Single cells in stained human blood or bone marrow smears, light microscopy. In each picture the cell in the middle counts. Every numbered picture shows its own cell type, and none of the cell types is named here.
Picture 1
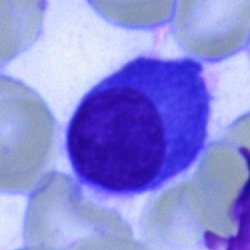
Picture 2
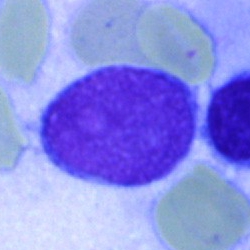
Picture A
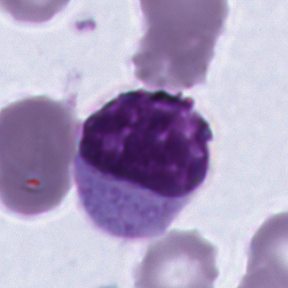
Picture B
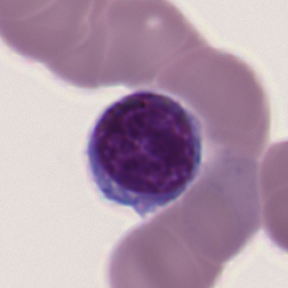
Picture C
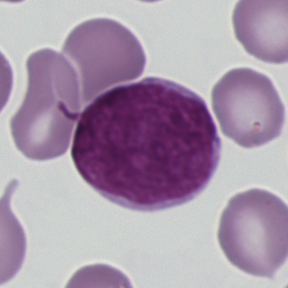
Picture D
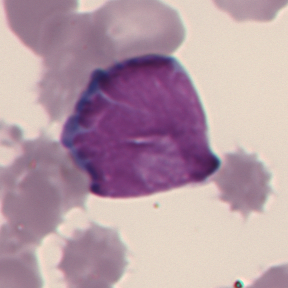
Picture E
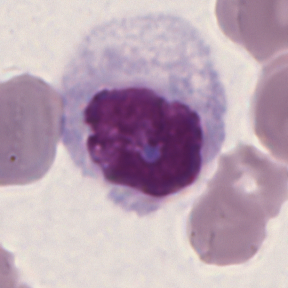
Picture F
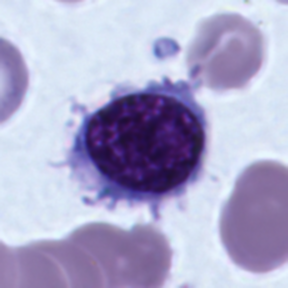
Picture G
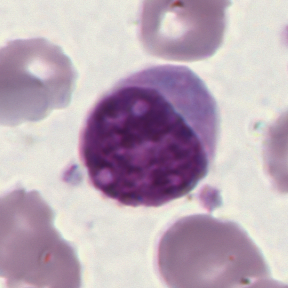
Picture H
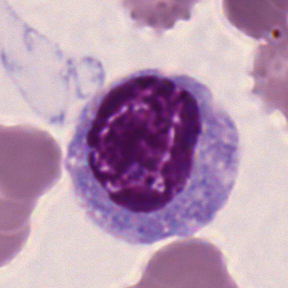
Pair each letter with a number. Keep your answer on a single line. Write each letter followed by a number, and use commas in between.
A 1, B 1, C 2, D 2, E 1, F 1, G 1, H 1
